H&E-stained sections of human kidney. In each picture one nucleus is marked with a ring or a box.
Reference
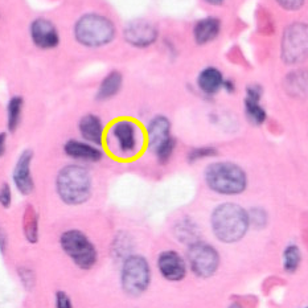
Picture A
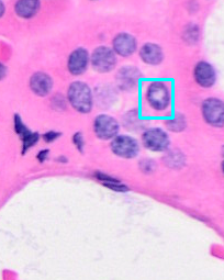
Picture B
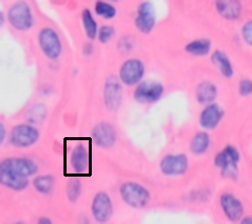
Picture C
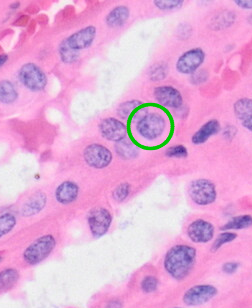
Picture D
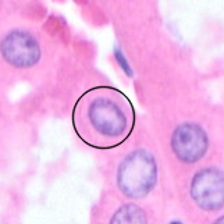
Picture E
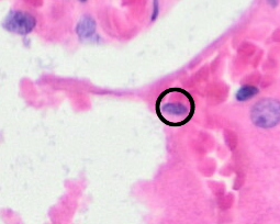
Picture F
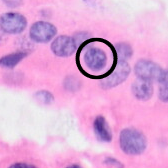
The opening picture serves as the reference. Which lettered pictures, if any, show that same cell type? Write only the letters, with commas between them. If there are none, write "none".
A, C, F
